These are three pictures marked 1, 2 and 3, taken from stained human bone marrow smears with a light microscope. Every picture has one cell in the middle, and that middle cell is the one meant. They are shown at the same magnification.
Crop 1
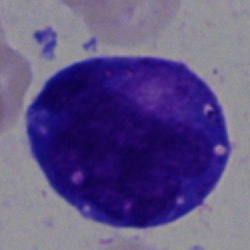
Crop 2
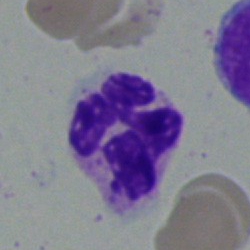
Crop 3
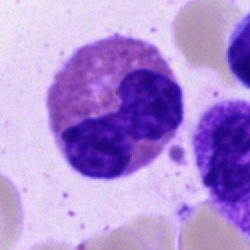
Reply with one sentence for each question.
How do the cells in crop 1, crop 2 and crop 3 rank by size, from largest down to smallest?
The order is 1, 3, 2, beginning with the largest.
